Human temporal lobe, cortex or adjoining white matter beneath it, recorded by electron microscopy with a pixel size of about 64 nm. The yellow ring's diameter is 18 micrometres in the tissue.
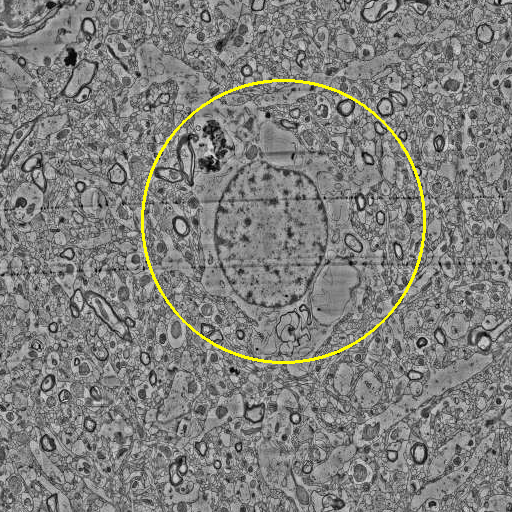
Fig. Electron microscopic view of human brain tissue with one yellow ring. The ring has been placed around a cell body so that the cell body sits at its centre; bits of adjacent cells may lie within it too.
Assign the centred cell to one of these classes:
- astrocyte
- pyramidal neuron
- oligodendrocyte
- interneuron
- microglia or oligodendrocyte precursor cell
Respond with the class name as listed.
astrocyte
